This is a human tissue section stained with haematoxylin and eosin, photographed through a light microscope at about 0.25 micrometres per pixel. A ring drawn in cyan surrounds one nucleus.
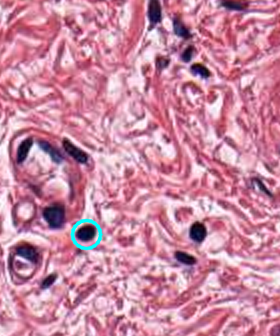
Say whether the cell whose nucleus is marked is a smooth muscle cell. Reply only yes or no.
no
